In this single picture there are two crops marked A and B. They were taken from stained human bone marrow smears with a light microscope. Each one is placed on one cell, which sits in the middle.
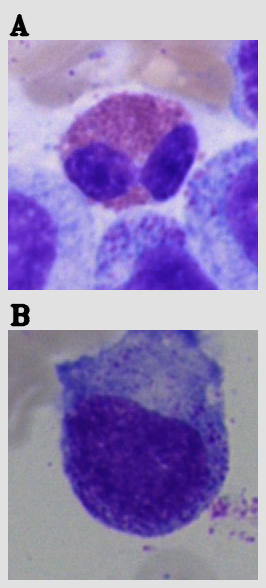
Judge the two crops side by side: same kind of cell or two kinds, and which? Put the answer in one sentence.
No, the middle of crop A shows an eosinophil, and the middle of crop B shows a promyelocyte.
